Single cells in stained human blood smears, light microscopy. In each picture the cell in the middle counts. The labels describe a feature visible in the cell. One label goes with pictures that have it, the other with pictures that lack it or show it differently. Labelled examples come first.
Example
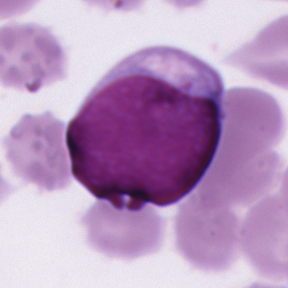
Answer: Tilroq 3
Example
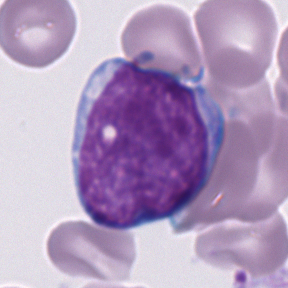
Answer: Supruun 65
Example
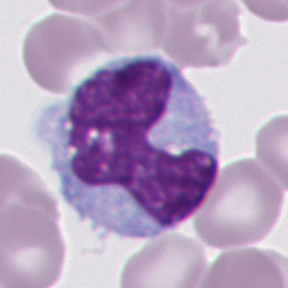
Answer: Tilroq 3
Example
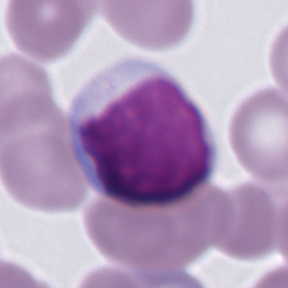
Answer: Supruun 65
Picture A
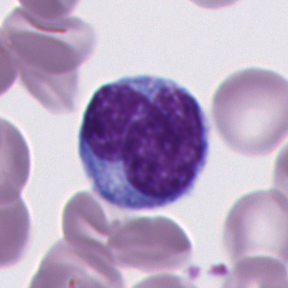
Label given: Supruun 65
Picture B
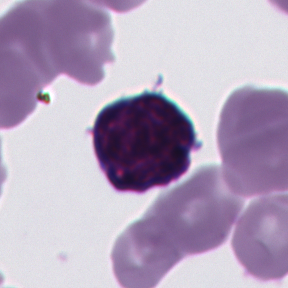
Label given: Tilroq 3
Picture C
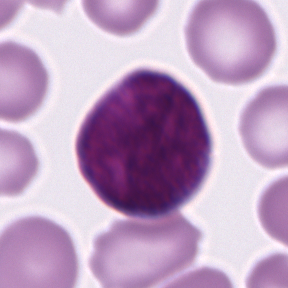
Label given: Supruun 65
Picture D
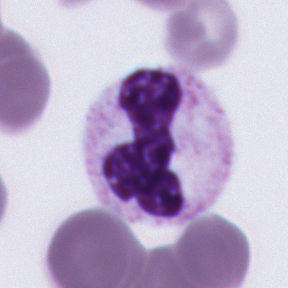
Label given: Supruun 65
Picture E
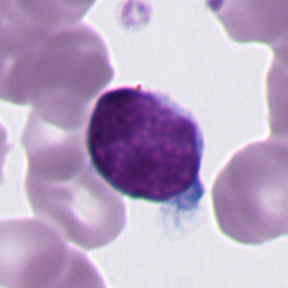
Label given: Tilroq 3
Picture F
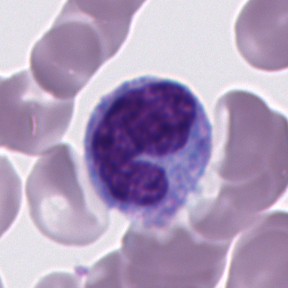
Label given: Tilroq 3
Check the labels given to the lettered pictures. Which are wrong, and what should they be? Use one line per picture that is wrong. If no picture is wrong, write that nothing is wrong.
F is labelled Tilroq 3; correct label: Supruun 65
